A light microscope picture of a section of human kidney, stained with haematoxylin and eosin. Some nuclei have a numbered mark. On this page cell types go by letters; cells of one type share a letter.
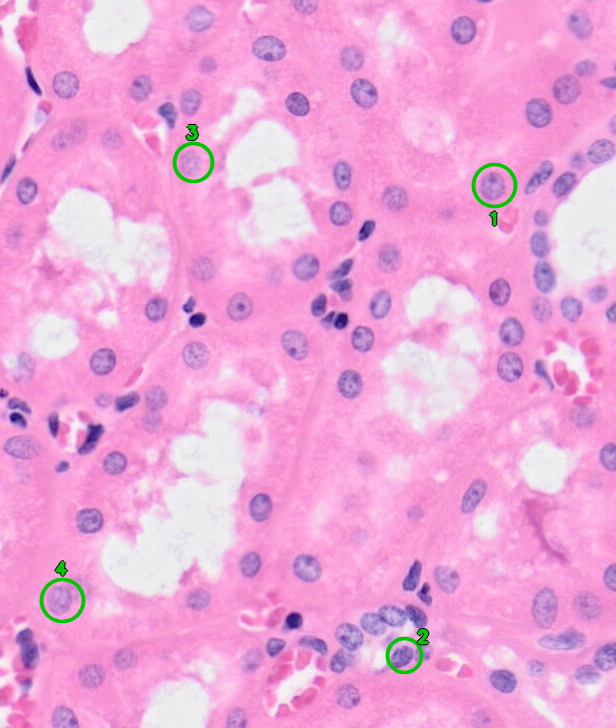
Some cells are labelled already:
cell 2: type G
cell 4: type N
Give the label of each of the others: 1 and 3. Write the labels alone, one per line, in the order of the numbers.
type N
type N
